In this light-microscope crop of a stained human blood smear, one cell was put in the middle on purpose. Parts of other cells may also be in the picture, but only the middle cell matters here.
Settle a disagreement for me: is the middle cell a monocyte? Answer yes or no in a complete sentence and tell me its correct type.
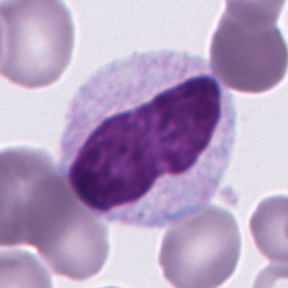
No, the central cell is counted as a band neutrophil instead of a monocyte.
